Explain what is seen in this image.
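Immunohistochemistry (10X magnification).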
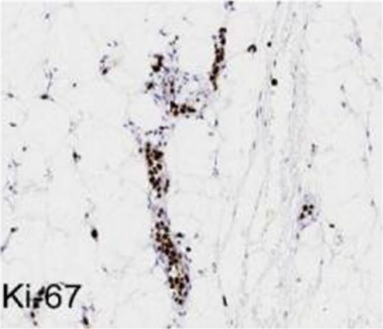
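Fatty tissue of clear empty spaces is crossed by a narrow branching channel crowded with cells. Most of the nuclei crowding this channel are stained dark brown, with only a few blue nuclei between them. A few scattered brown nuclei lie in small channels elsewhere in the fat.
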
